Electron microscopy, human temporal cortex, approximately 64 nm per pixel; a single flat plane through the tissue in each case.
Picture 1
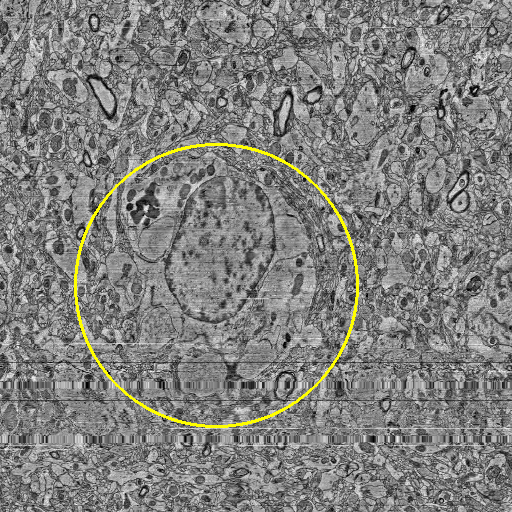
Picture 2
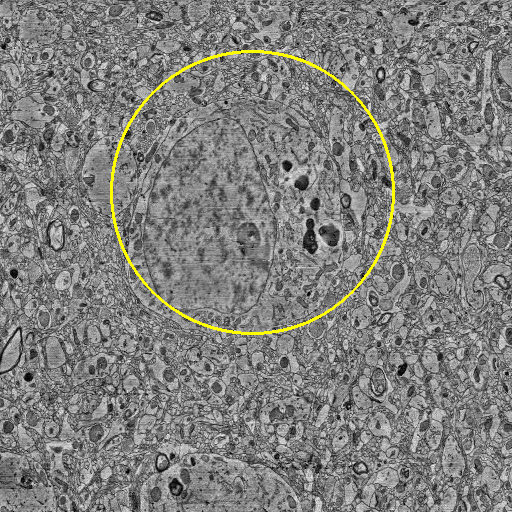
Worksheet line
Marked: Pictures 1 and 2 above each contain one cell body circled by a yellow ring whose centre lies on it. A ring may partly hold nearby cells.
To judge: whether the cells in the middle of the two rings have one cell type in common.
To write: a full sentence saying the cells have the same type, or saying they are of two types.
The cells in the middle of the rings in Picture 1 and Picture 2 are of two types.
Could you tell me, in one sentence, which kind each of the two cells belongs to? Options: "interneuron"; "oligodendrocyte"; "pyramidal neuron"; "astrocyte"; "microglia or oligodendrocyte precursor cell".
At the centre of the first ring sits an astrocyte, and at the centre of the second sits an interneuron.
